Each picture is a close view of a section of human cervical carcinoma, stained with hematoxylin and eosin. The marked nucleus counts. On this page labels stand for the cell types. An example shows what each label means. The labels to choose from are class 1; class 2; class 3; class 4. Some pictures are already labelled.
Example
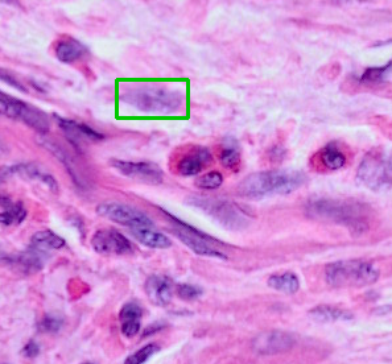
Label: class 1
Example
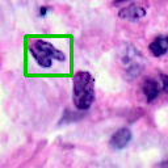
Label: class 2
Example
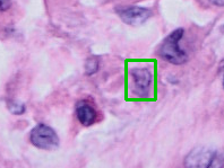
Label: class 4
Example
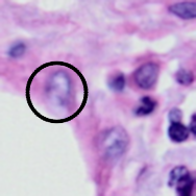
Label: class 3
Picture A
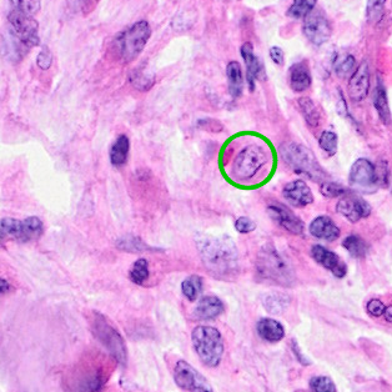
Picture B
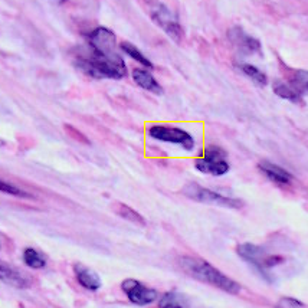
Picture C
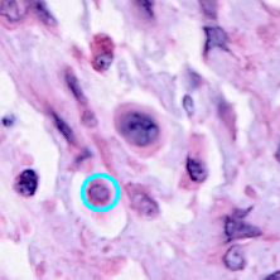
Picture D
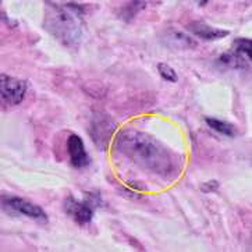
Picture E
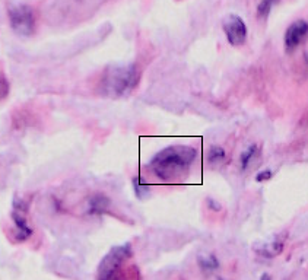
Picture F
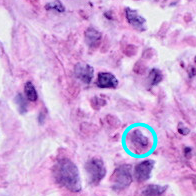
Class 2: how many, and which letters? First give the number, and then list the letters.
Count: 1 (B)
